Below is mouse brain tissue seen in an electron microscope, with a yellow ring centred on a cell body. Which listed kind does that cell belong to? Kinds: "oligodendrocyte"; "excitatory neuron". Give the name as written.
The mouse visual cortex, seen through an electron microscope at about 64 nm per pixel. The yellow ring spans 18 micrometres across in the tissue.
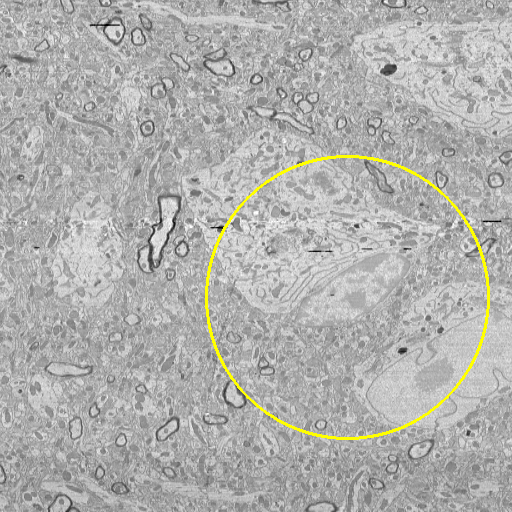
oligodendrocyte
